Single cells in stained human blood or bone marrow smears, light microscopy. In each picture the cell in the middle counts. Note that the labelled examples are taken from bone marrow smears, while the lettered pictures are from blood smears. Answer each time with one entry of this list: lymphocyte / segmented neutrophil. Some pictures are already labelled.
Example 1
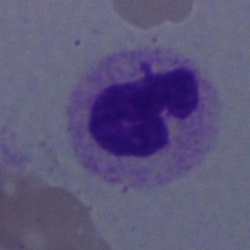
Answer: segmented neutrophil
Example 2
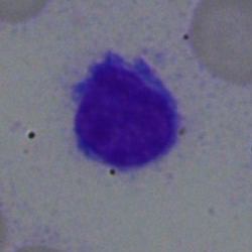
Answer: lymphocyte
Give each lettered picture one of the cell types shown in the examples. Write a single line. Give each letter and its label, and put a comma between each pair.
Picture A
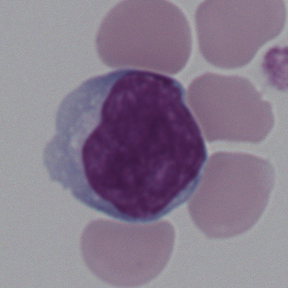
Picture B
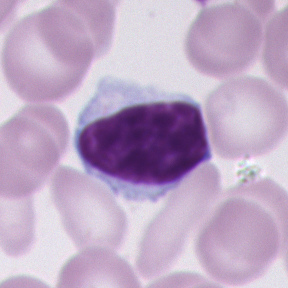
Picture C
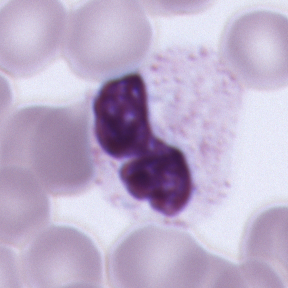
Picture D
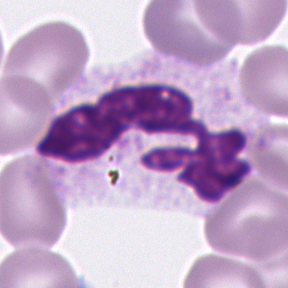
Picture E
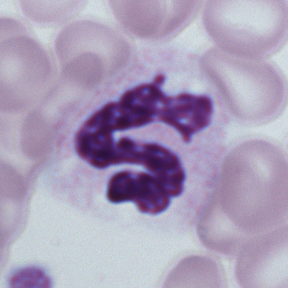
A lymphocyte, B lymphocyte, C segmented neutrophil, D segmented neutrophil, E segmented neutrophil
